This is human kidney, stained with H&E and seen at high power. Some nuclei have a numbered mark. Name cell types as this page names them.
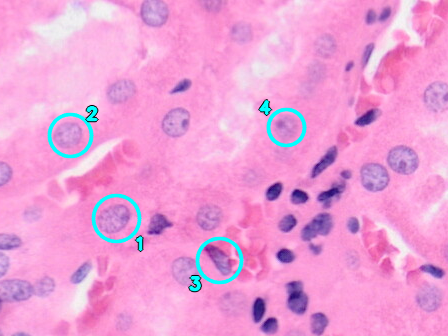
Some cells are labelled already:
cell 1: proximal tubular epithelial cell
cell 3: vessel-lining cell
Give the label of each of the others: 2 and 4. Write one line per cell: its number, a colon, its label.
2: proximal tubular epithelial cell
4: proximal tubular epithelial cell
